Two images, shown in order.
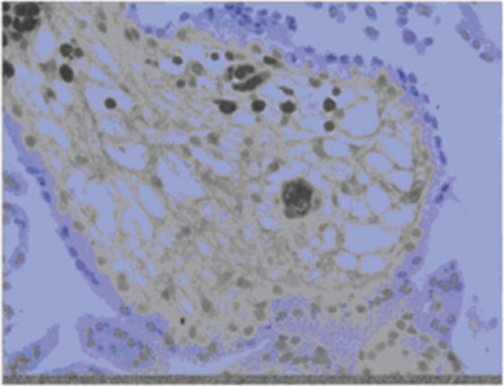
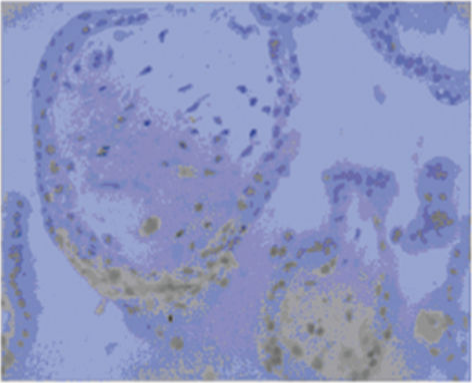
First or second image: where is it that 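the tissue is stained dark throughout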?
The first image.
